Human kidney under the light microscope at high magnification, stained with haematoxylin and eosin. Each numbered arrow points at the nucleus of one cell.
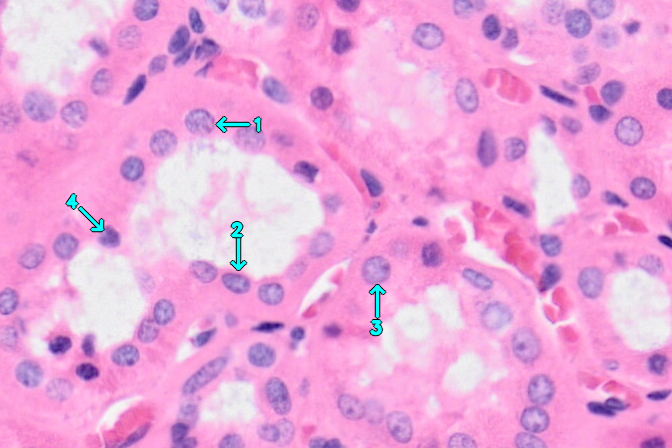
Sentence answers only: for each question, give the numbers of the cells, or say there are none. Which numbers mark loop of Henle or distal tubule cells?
The cells with the number labels 1, 2 and 4 are loop of Henle or distal tubule cells.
